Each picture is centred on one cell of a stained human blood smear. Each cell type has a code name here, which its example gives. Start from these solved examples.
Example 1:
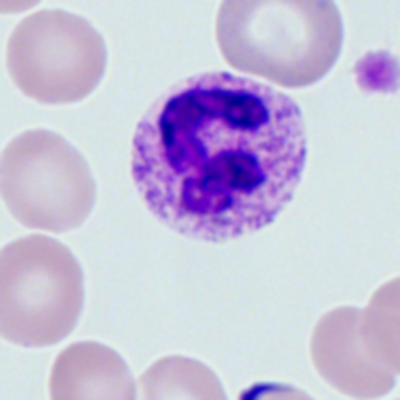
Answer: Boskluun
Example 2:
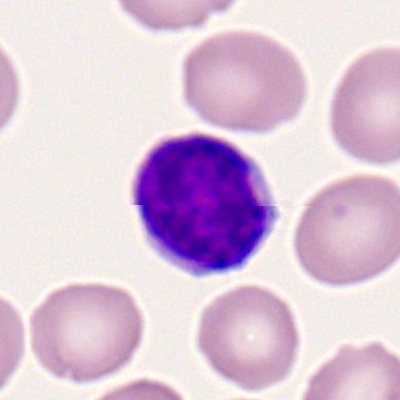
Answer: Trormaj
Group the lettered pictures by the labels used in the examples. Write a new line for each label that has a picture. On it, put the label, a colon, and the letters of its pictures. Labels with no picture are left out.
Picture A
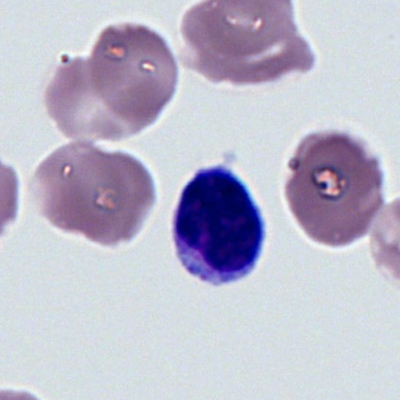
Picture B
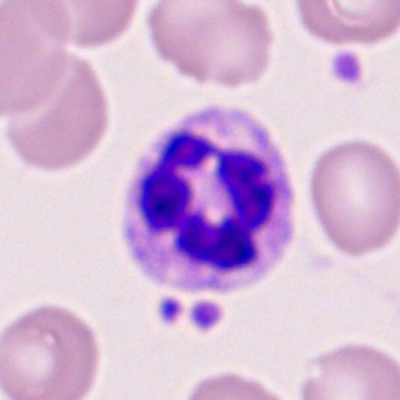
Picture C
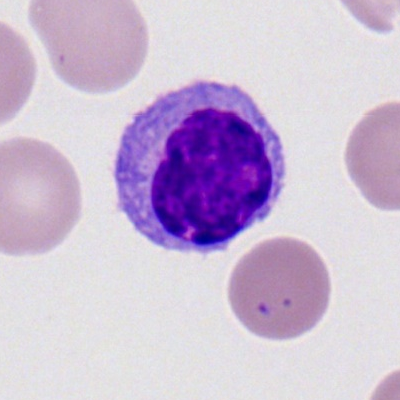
Boskluun: B
Trormaj: A, C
